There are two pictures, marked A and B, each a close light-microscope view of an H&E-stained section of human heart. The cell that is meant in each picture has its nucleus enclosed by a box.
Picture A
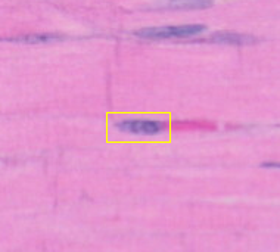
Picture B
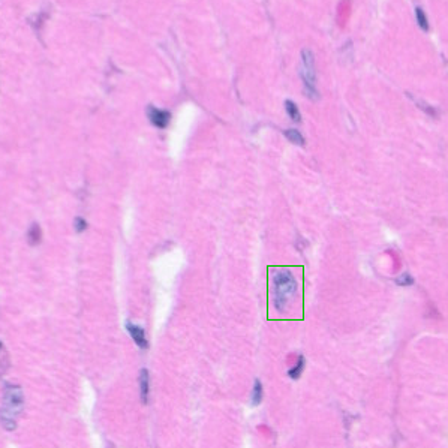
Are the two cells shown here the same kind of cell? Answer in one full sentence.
No; the cell in picture A is an endothelial cell, while the one in picture B is a cardiomyocyte.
